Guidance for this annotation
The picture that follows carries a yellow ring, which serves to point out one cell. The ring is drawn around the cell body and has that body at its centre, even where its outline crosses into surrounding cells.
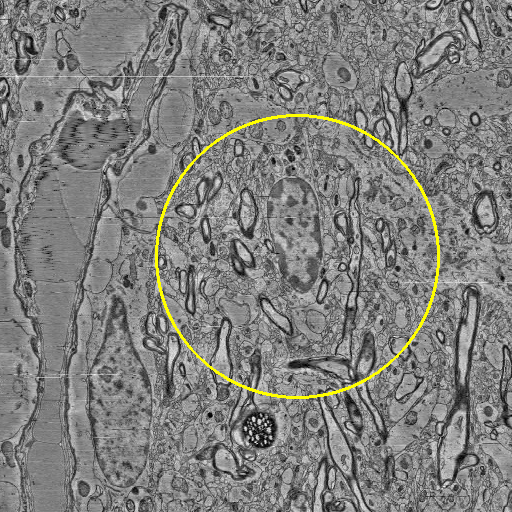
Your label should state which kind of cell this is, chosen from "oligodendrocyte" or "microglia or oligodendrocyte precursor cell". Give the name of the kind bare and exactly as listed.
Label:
microglia or oligodendrocyte precursor cell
